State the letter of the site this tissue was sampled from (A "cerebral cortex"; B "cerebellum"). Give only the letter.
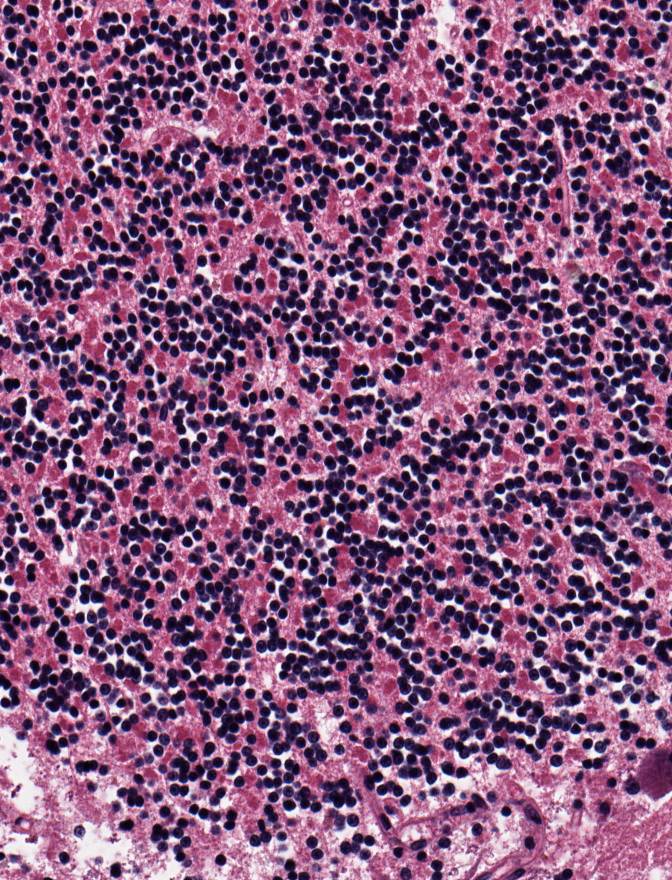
B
